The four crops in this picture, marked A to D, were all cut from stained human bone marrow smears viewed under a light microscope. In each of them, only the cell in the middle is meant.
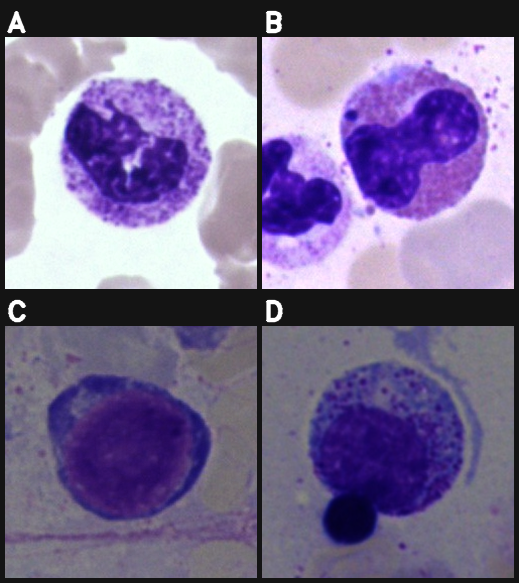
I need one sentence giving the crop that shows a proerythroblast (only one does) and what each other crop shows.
Crop C represents a proerythroblast, while crop A is a segmented neutrophil, crop B is an eosinophil and crop D is a promyelocyte.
